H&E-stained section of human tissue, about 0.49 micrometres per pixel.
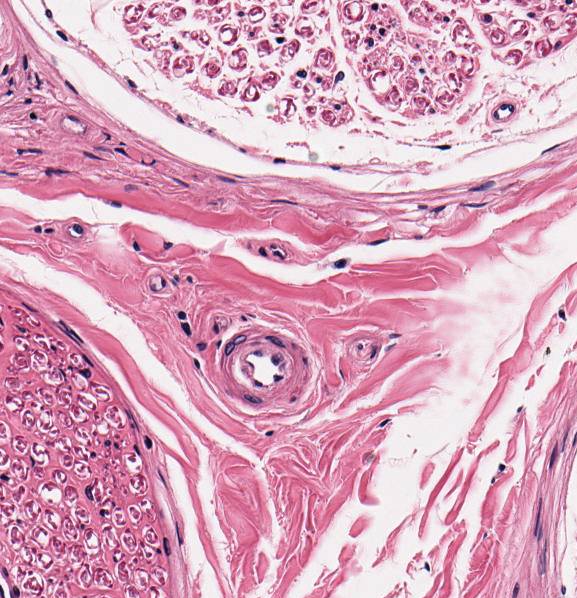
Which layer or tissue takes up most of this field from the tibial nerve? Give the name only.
epineurium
